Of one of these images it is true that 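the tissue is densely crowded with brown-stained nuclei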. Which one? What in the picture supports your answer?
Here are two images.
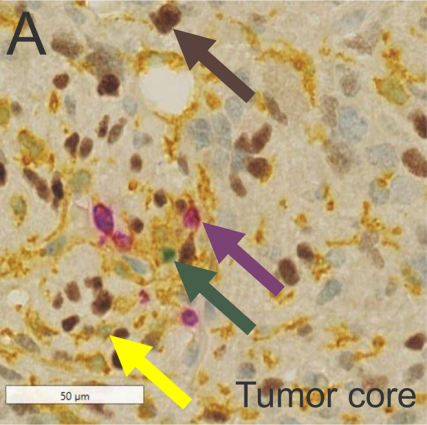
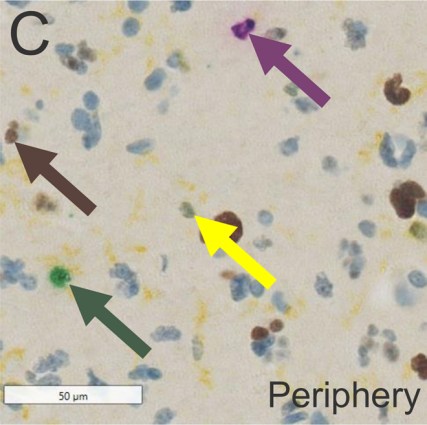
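The first image. Second image: mostly blue nuclei spread apart, with only a few brown nuclei. First image: many brown nuclei packed closely together with a dense yellow network between them.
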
